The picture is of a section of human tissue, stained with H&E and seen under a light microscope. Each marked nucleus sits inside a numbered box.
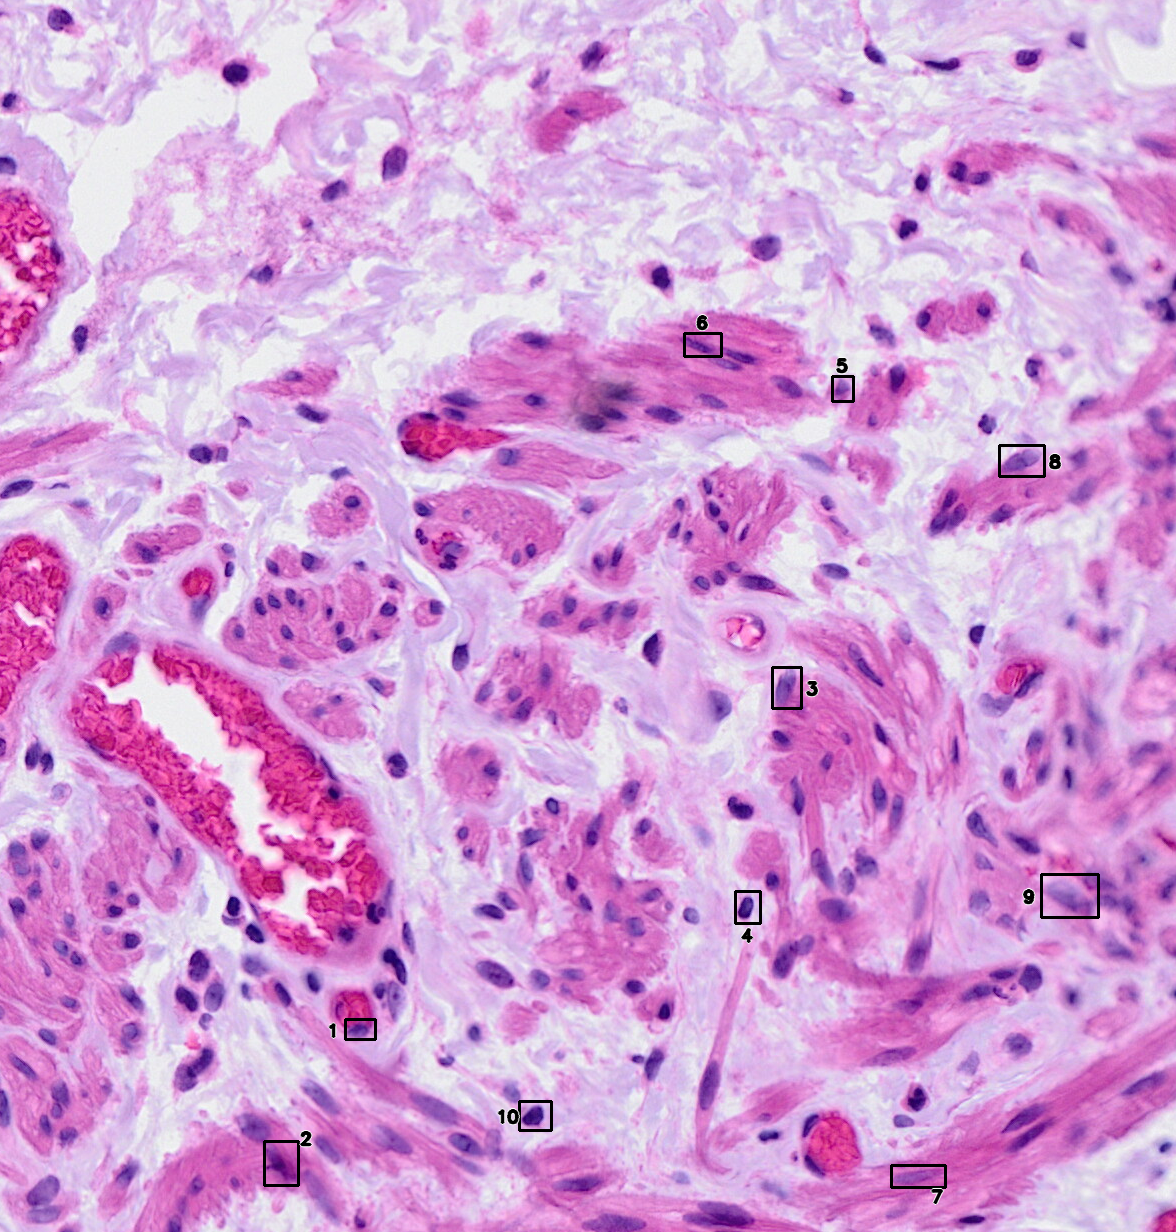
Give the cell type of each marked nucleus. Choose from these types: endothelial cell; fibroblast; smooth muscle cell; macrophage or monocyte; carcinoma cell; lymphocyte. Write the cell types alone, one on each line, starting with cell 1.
endothelial cell
smooth muscle cell
smooth muscle cell
lymphocyte
smooth muscle cell
smooth muscle cell
smooth muscle cell
smooth muscle cell
endothelial cell
lymphocyte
